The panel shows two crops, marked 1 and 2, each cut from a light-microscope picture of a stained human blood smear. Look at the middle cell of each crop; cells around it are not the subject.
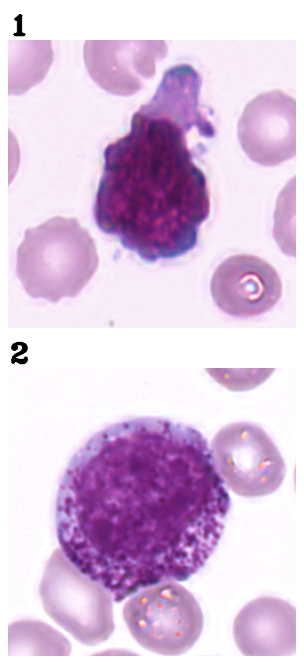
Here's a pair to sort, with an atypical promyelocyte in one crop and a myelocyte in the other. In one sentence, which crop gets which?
Well, crop 1 is an atypical promyelocyte, and crop 2 is a myelocyte.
